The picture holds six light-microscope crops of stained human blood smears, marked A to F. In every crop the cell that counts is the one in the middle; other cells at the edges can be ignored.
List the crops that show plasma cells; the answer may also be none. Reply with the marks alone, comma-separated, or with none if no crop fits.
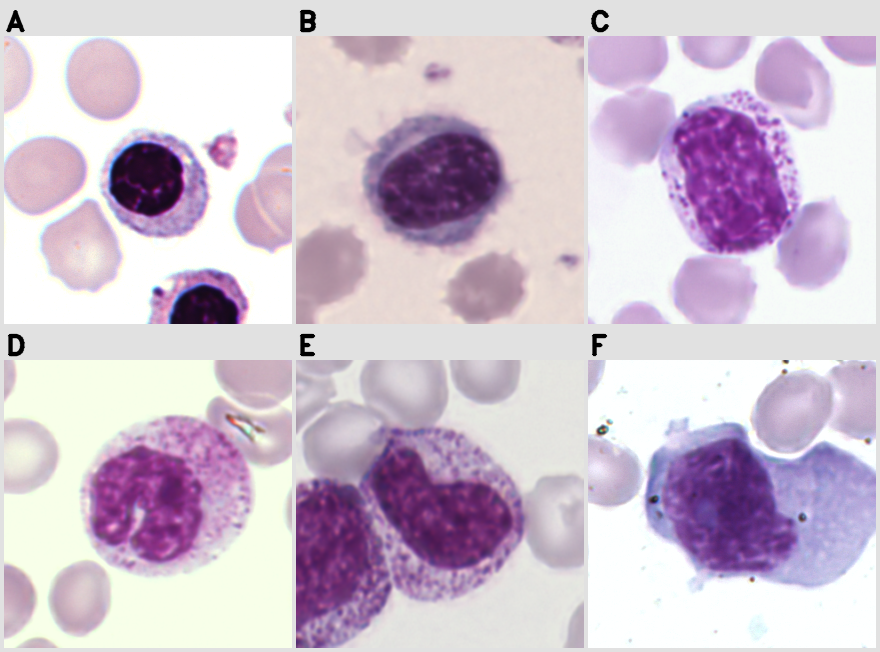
B, F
